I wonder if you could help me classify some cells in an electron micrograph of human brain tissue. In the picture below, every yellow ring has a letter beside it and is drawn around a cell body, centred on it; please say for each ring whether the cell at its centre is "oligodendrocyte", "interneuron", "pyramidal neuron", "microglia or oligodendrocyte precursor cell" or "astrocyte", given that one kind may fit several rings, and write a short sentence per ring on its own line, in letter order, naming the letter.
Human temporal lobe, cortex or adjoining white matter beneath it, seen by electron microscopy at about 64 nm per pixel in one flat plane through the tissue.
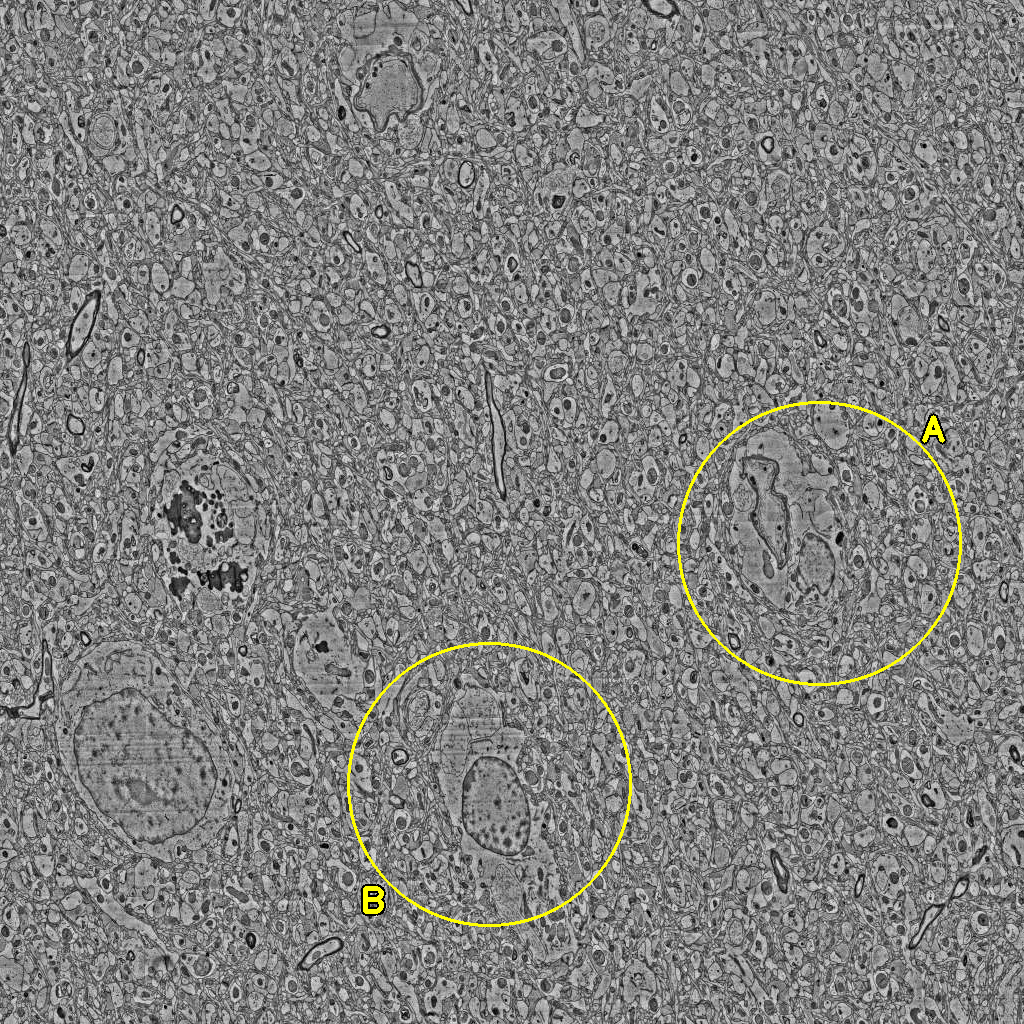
Centred in ring A is a microglial cell or oligodendrocyte precursor cell.
Centred in ring B is an astrocyte.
